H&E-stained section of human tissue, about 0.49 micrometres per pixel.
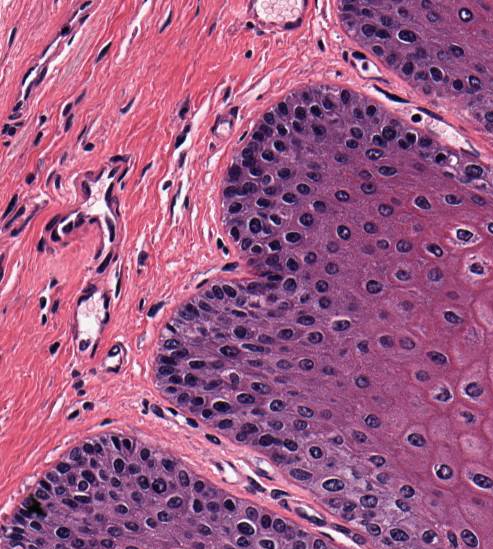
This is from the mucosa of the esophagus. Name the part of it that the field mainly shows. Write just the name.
stratified squamous nonkeratinized epithelium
